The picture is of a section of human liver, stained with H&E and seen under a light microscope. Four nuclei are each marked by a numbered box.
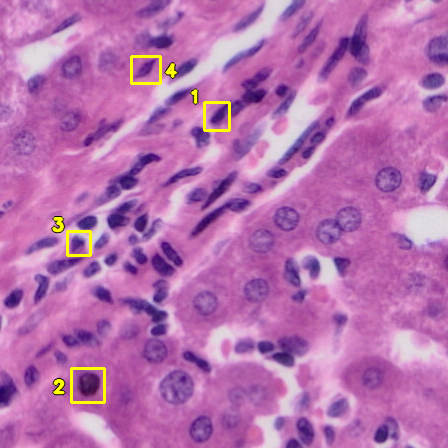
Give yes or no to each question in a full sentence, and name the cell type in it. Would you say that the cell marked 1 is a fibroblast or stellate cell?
Yes, the cell identified as number 1 is a fibroblast or stellate cell.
